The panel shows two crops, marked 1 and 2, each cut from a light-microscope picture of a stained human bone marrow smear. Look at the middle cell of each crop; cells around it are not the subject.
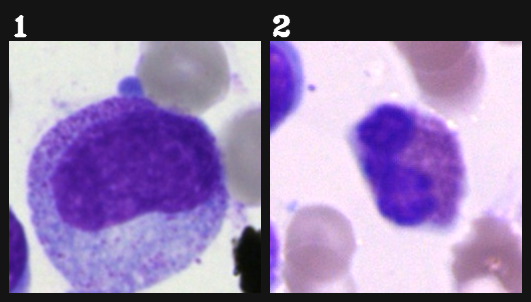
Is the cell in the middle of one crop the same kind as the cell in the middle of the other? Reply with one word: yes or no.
no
